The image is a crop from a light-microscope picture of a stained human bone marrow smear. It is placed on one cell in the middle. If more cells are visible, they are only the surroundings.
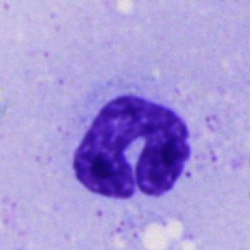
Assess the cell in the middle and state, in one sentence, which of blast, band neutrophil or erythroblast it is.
The cell positioned in the middle of the field is a band neutrophil.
